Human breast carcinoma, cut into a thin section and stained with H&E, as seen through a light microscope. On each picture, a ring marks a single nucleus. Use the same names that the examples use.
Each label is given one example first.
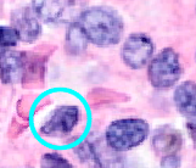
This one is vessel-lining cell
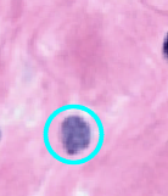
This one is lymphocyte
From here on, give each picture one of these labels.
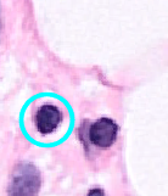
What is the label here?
lymphocyte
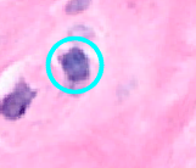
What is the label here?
lymphocyte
